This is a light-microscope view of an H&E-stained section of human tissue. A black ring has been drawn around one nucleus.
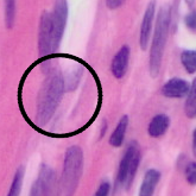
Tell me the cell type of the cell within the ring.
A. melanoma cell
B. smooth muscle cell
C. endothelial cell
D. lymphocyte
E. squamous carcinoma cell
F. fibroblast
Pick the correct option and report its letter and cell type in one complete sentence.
The right option is C, the cell within the ring being an endothelial cell.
